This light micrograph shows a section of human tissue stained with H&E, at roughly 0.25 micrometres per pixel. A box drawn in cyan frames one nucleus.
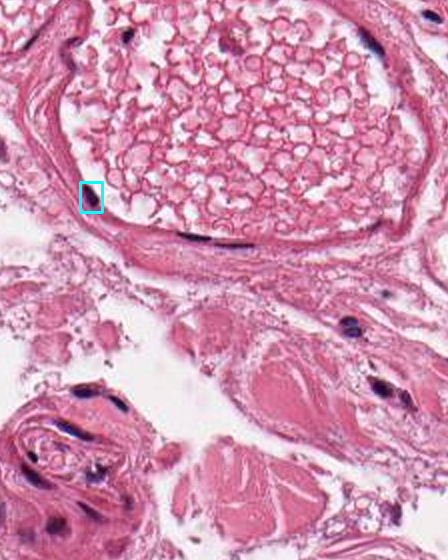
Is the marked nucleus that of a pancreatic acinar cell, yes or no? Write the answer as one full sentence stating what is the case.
No, the marked nucleus is found in a supporting cell instead of in a pancreatic acinar cell.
